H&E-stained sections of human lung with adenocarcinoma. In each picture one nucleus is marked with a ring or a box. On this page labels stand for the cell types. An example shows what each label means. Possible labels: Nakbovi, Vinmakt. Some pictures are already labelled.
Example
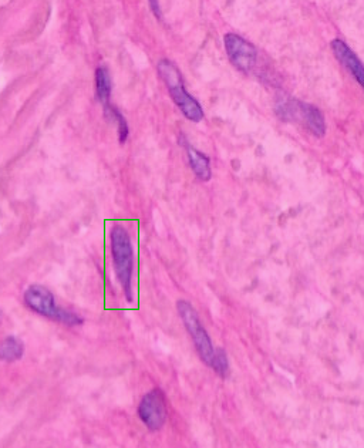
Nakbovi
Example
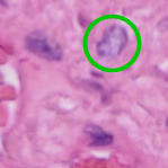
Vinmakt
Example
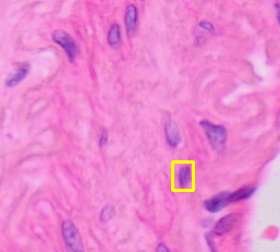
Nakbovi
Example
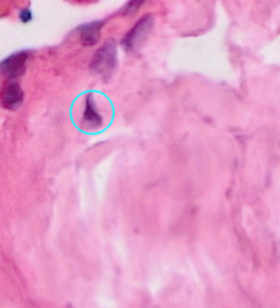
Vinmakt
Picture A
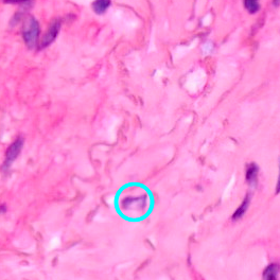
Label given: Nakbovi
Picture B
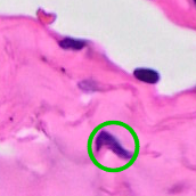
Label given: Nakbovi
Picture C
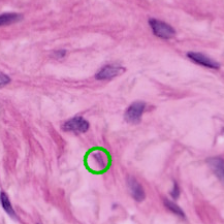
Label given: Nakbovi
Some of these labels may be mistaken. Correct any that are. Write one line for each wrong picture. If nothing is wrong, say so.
A: not Nakbovi but Vinmakt
B: not Nakbovi but Vinmakt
